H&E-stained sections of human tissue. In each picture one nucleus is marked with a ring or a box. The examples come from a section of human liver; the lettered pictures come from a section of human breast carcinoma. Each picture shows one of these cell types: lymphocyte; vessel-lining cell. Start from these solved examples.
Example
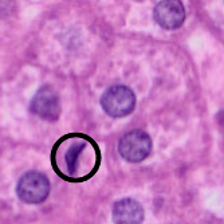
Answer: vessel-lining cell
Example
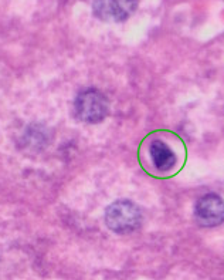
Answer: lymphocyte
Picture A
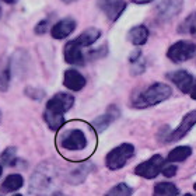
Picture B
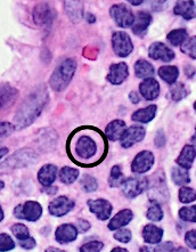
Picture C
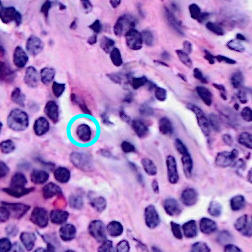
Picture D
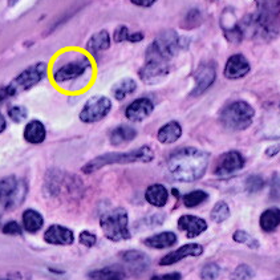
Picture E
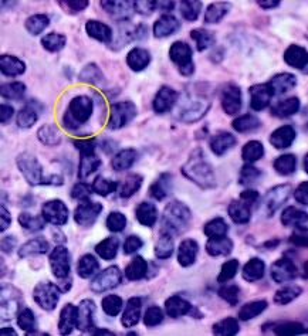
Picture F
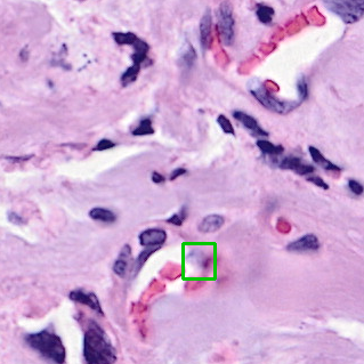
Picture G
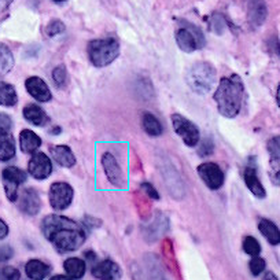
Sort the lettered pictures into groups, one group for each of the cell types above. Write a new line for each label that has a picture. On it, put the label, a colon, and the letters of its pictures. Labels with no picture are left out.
lymphocyte: A, B, C, D, E
vessel-lining cell: F, G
